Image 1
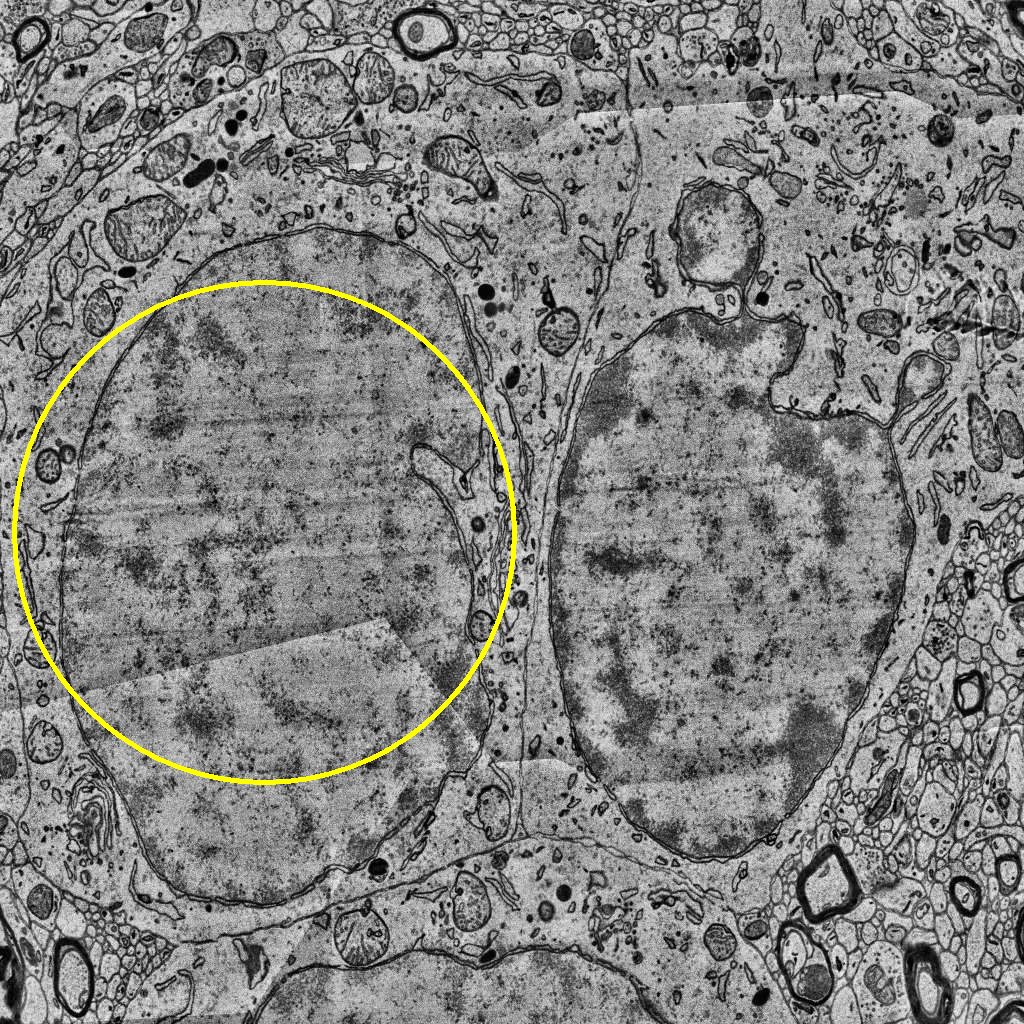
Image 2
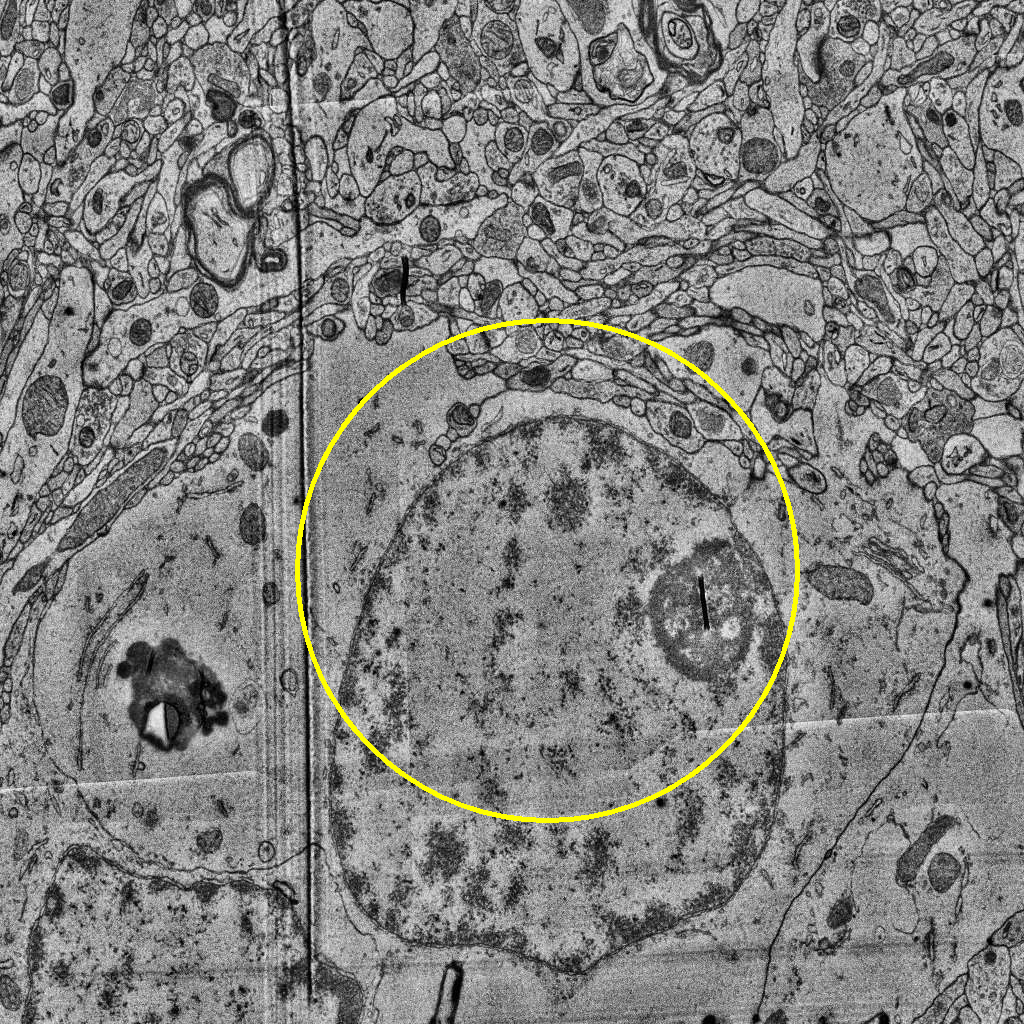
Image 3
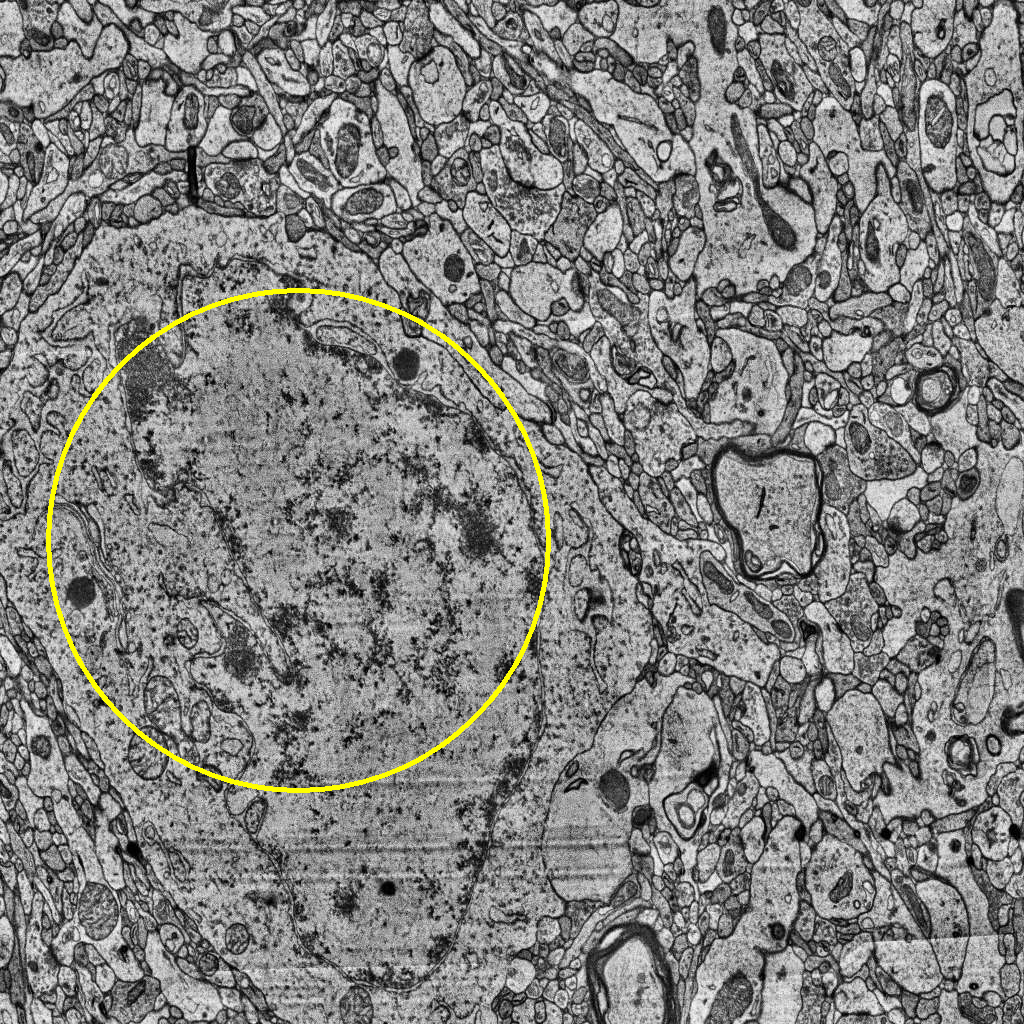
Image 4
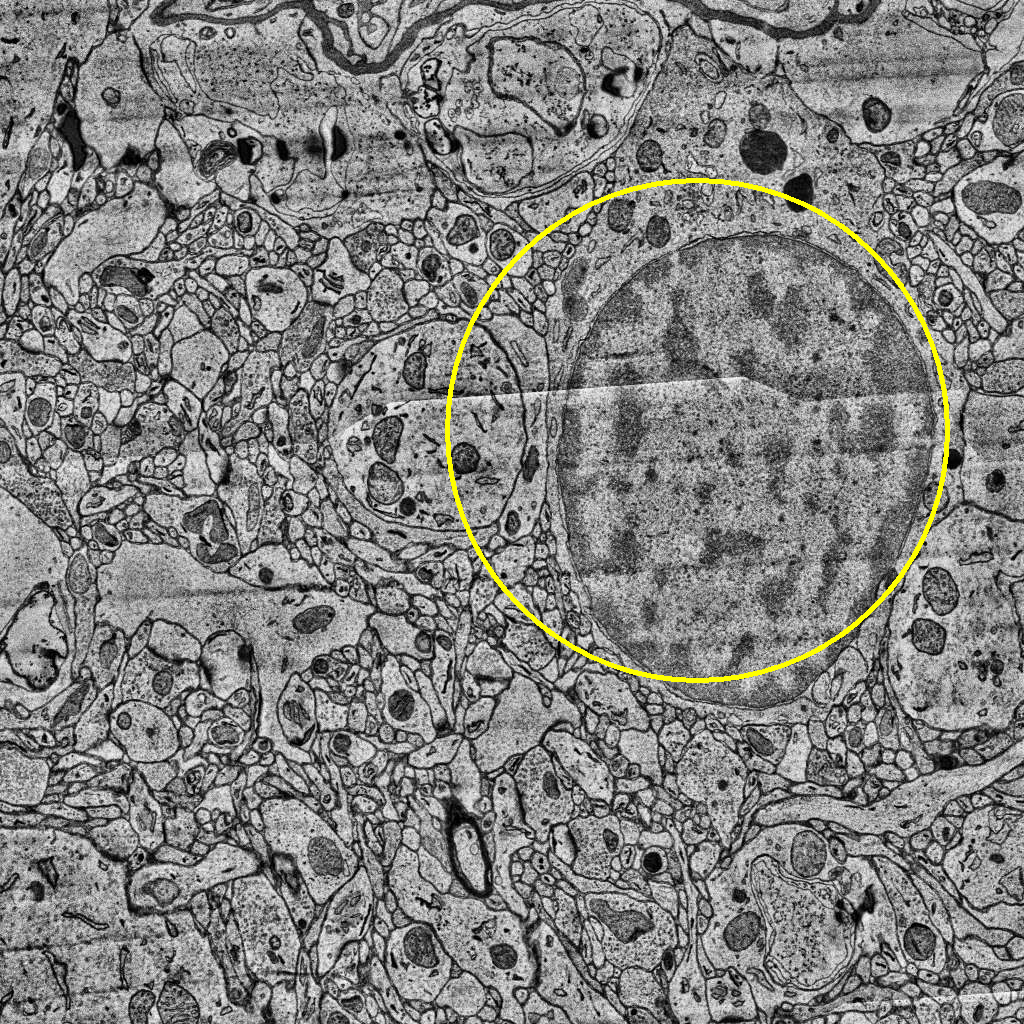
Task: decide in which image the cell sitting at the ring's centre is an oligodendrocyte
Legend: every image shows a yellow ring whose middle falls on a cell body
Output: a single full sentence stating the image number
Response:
In image 4, the cell at the middle of the ring is the match.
